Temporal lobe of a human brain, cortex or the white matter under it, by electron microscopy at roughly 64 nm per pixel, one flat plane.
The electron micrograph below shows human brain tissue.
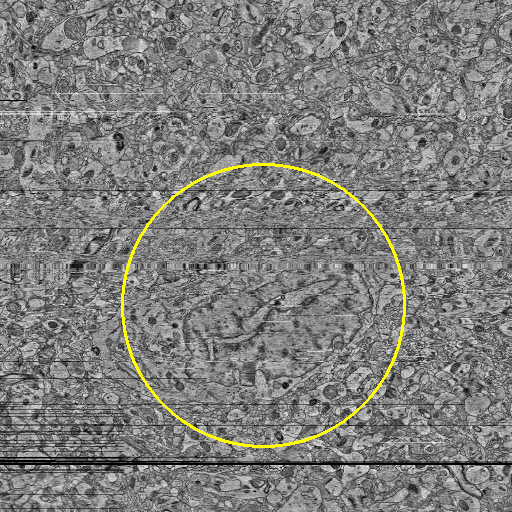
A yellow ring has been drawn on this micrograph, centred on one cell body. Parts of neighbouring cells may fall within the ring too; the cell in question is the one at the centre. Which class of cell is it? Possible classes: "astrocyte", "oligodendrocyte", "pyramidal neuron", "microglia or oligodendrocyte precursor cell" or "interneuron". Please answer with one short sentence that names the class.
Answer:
In the centre of the ring sits an interneuron.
